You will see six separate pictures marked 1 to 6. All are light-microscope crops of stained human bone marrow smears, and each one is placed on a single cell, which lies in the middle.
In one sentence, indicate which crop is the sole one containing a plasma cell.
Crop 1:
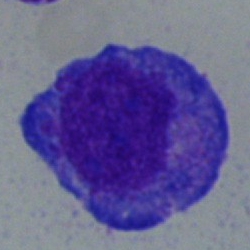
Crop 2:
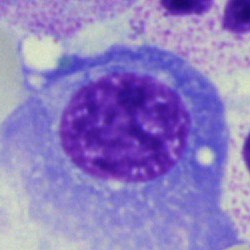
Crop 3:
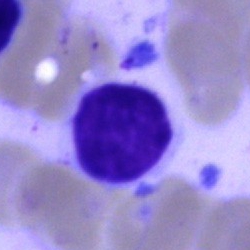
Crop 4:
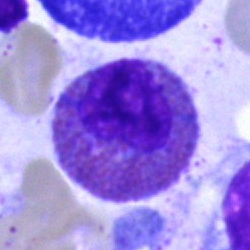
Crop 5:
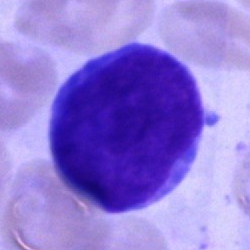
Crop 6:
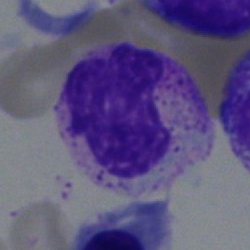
Crop 2 is the one in this set that shows a plasma cell.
